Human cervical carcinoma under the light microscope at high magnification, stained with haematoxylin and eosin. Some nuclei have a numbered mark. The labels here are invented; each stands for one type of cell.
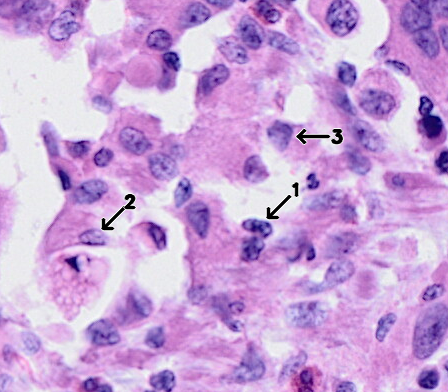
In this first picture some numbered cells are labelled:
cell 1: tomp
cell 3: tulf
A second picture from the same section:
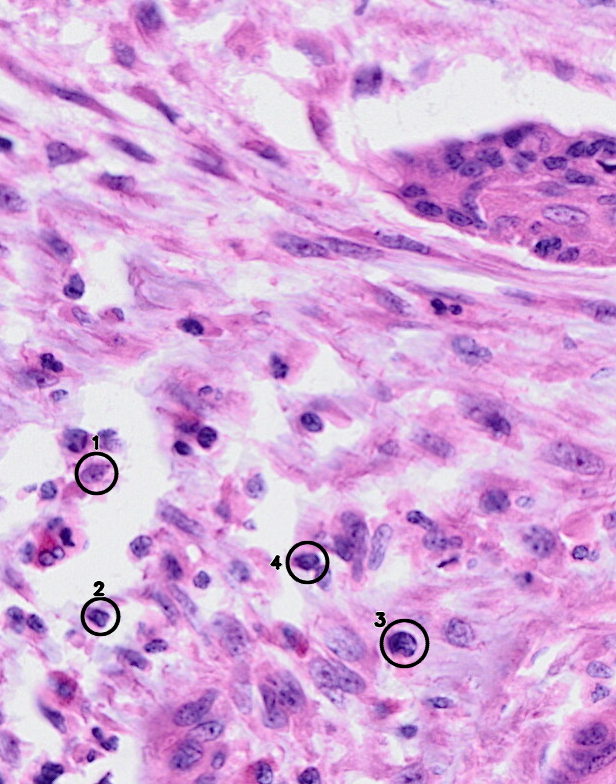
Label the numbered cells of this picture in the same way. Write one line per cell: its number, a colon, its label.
1: tulf
2: tomp
3: tomp
4: tomp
